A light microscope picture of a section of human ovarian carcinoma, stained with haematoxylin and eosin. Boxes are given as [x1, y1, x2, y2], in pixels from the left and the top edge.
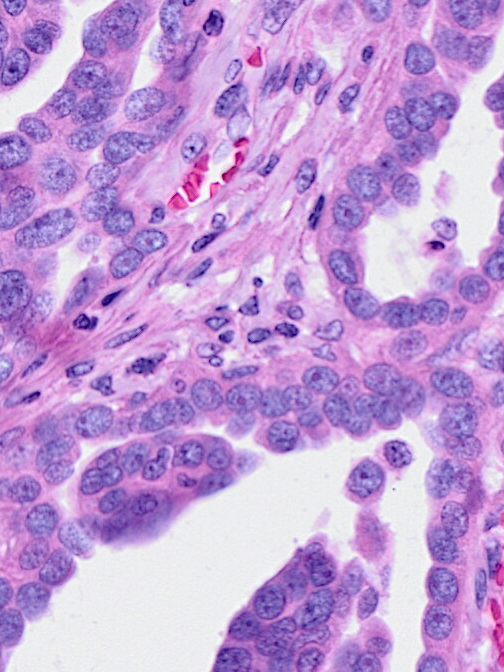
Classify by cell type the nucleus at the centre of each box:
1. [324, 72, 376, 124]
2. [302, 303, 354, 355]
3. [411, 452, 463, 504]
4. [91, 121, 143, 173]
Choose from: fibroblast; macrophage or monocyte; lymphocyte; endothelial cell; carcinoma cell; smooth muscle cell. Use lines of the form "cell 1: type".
cell 1: fibroblast
cell 2: fibroblast
cell 3: carcinoma cell
cell 4: carcinoma cell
